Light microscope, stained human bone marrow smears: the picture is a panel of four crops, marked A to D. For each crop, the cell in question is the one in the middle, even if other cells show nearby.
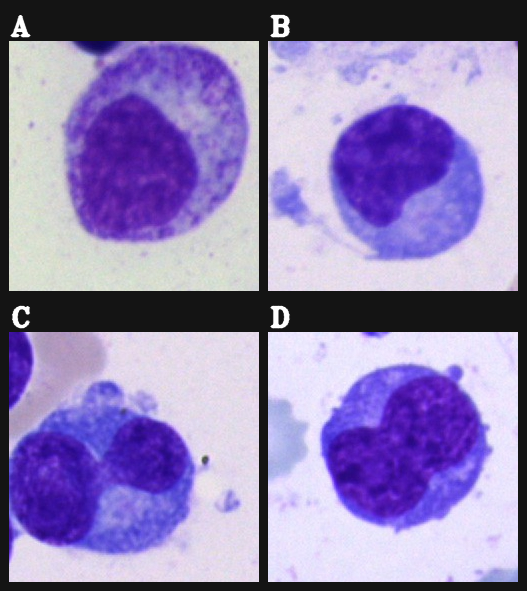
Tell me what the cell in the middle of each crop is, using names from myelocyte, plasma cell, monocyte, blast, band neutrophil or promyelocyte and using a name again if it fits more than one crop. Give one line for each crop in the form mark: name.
A: myelocyte
B: plasma cell
C: plasma cell
D: blast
